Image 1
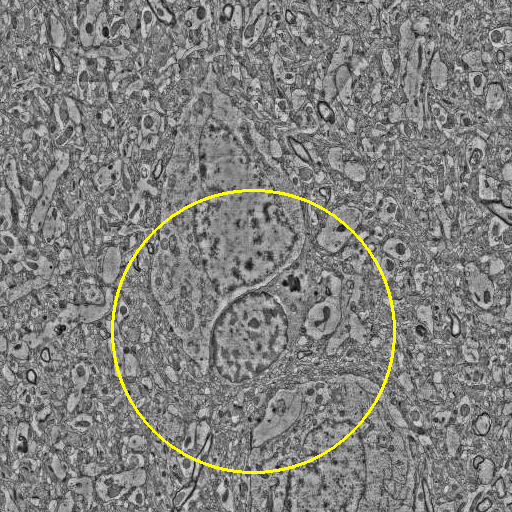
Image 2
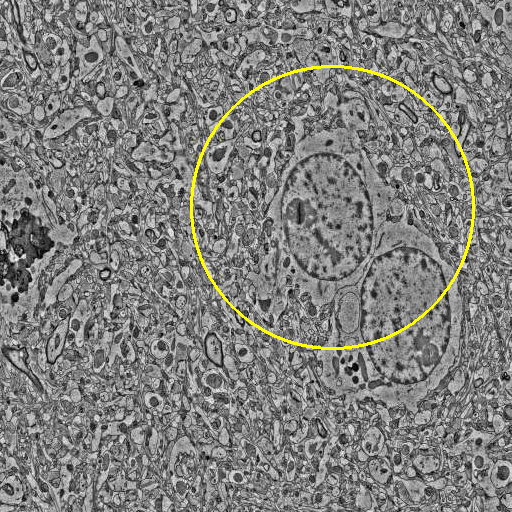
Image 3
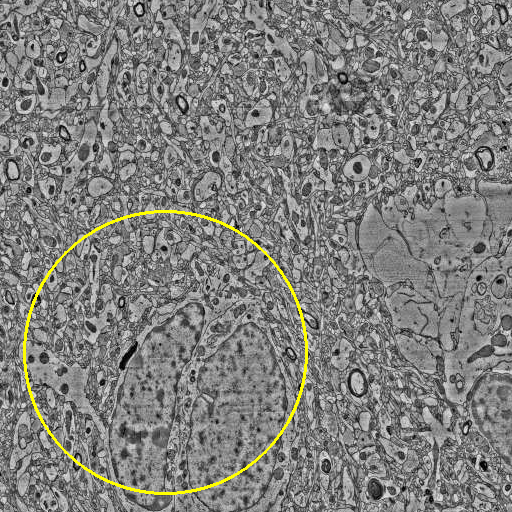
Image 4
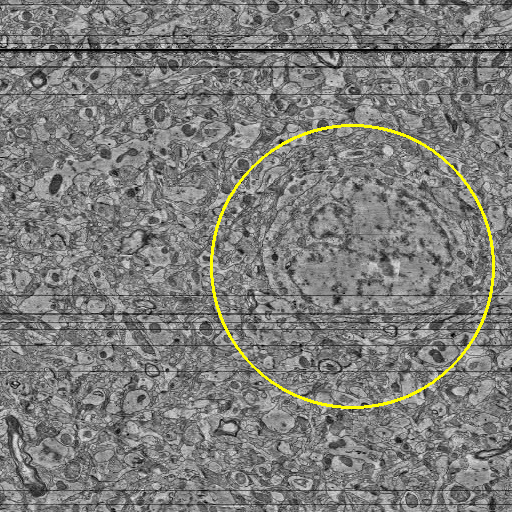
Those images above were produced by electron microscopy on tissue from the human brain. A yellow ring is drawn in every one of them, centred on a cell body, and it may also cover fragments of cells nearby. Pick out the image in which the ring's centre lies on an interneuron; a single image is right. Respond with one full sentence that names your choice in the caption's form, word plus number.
Image 4 is my choice: its ring is centred on the requested cell.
